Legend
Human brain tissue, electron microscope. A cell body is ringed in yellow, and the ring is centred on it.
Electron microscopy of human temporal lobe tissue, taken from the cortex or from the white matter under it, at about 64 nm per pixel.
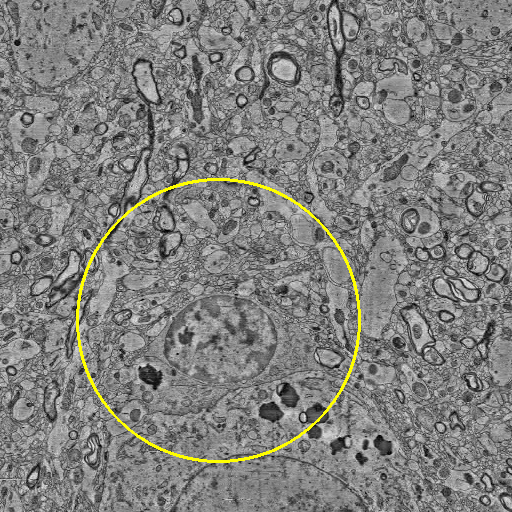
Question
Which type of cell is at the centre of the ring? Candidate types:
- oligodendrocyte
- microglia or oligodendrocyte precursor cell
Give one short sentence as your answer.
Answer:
The yellow ring is centred here on an oligodendrocyte.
